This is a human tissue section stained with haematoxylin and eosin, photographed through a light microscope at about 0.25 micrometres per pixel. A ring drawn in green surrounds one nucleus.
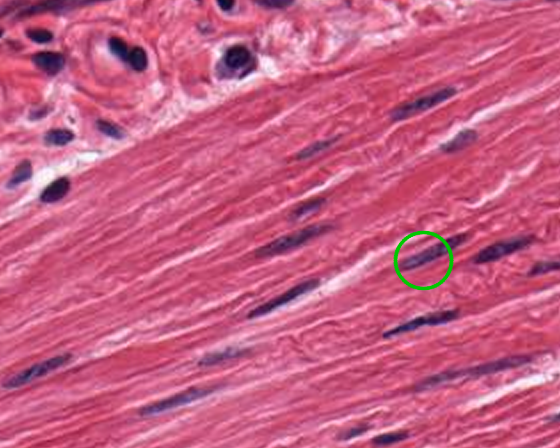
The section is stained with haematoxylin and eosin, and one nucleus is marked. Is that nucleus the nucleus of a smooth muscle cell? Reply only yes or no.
yes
